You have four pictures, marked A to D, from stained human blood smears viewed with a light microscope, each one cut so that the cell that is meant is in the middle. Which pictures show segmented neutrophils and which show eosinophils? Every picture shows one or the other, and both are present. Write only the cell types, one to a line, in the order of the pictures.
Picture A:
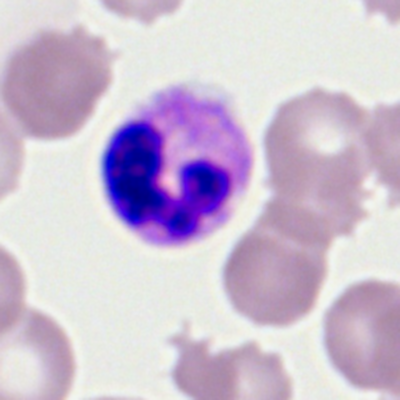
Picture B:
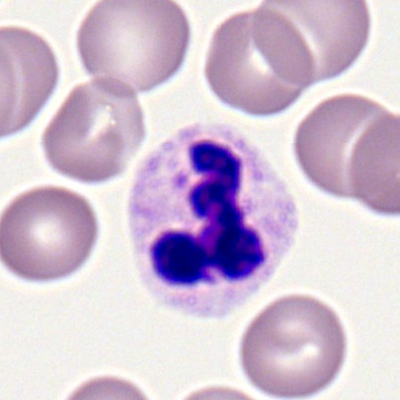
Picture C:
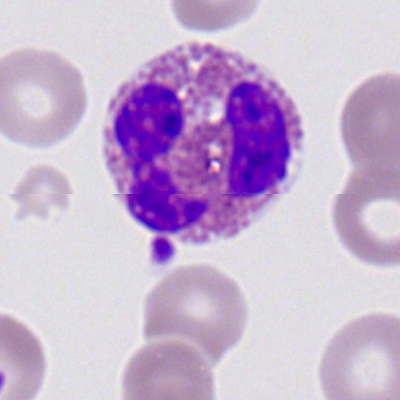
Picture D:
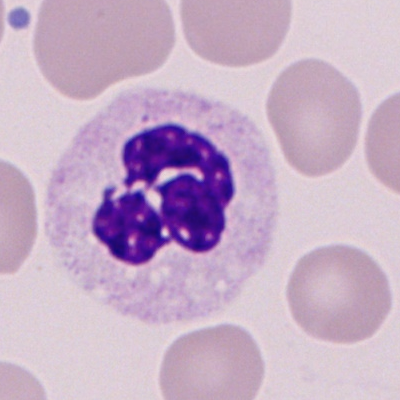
segmented neutrophil
segmented neutrophil
eosinophil
segmented neutrophil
